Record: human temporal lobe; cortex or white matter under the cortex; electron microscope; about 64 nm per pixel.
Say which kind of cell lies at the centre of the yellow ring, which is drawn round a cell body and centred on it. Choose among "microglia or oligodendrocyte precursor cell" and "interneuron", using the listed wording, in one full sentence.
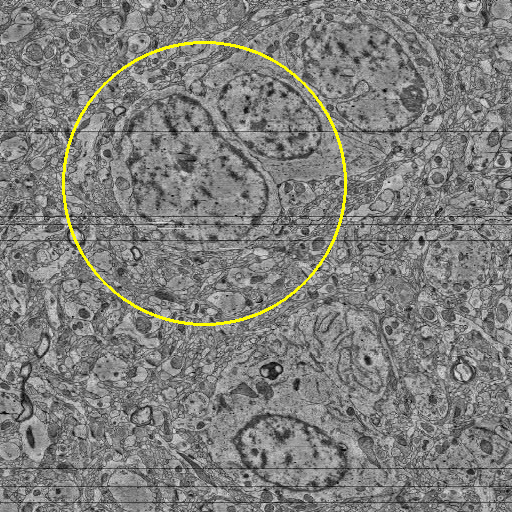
Going by the list, the cell at the yellow ring's centre is an interneuron.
